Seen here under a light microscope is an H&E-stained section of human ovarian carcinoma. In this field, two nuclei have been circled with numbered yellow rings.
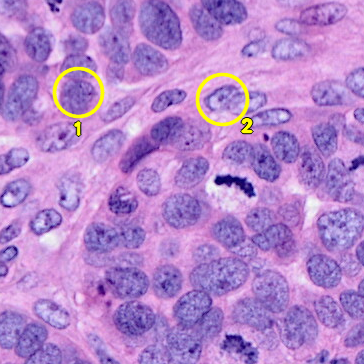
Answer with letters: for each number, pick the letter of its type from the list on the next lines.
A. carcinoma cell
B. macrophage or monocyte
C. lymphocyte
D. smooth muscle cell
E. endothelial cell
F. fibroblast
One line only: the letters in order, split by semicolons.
A; F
